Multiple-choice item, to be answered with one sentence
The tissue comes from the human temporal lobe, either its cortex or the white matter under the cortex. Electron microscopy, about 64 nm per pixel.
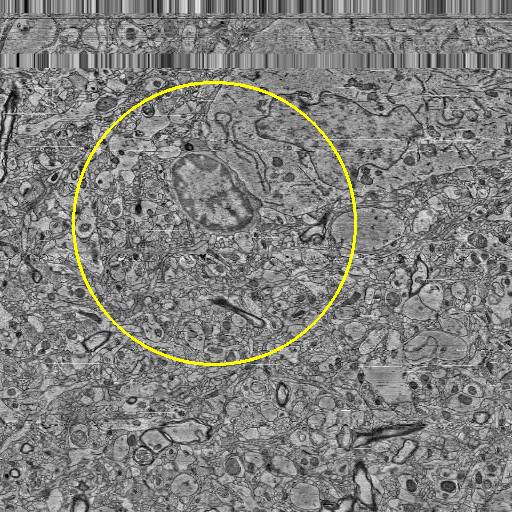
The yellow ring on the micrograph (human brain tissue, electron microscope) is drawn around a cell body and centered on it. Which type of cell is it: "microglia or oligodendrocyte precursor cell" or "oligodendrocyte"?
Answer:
The ring is centered on an oligodendrocyte.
